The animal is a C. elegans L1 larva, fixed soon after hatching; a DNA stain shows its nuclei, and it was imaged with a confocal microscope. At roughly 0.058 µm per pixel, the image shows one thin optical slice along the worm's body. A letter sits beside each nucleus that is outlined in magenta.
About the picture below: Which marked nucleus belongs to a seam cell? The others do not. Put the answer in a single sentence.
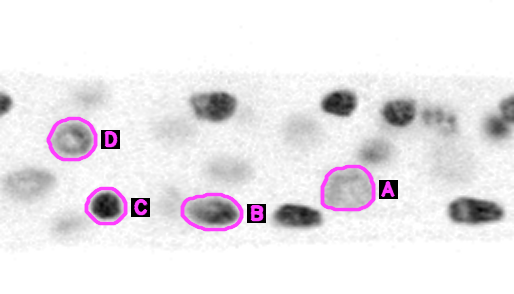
D is the nucleus of a seam cell.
